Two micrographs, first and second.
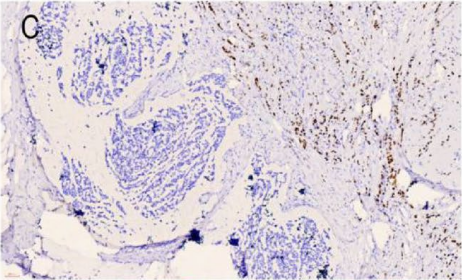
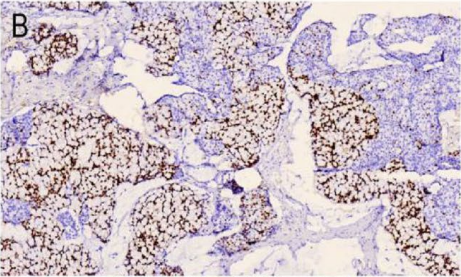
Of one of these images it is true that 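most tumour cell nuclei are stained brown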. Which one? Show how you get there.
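First image: the tumour nests are blue, with brown only in scattered cells of the surrounding stroma. Second image: many tumour nests are packed with dark brown nuclei. That points to this answer: the second image.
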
